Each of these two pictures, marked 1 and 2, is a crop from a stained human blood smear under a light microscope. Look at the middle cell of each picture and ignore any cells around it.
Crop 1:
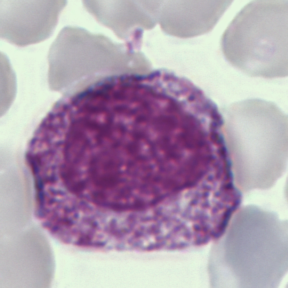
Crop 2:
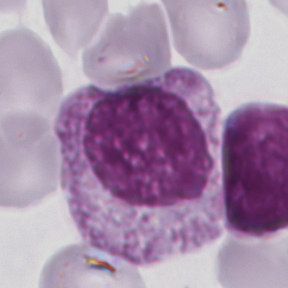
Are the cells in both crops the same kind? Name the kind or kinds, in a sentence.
Yes, the central cells in both of the crops are myelocytes.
